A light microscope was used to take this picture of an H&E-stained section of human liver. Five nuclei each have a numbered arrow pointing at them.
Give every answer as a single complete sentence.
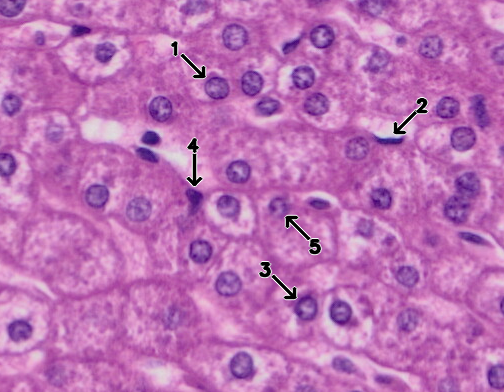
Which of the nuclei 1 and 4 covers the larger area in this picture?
It is nucleus 1, which covers about 1.5 times the area of nucleus 4.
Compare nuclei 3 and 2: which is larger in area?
The larger nucleus is 3, at roughly 2.5 times the area of 2.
